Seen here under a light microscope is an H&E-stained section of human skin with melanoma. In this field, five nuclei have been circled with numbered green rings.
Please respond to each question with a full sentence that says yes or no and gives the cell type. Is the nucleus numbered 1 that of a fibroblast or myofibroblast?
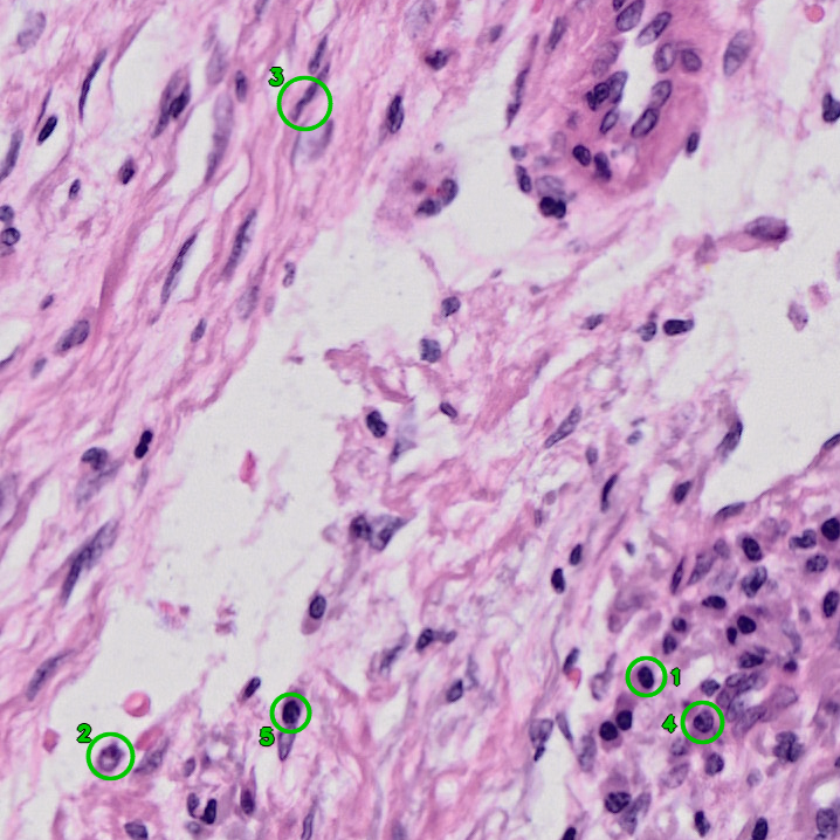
No, the cell given the number 1 is a plasma cell, so not a fibroblast or myofibroblast.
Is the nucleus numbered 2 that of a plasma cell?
No, the cell given the number 2 is a melanoma cell, so not a plasma cell.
